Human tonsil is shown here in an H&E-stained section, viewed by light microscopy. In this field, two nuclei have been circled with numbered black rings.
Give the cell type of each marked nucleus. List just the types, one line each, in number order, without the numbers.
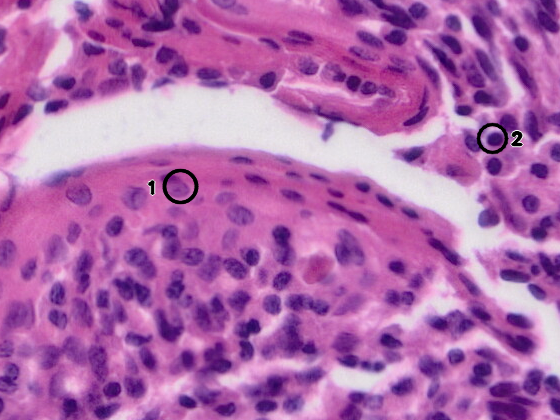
squamous epithelial cell
plasma cell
